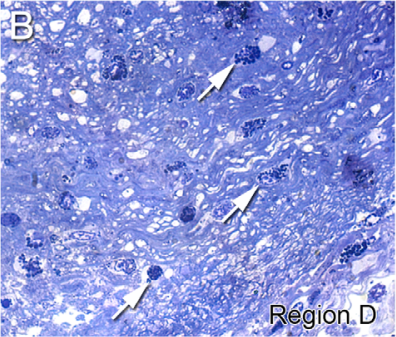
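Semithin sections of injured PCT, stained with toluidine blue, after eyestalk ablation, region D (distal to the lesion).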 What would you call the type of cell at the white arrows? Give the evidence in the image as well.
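Granular hemocytes. They lie scattered among longitudinal fibers.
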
